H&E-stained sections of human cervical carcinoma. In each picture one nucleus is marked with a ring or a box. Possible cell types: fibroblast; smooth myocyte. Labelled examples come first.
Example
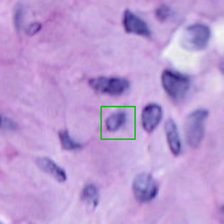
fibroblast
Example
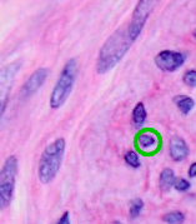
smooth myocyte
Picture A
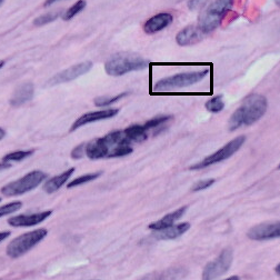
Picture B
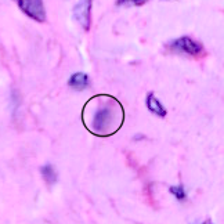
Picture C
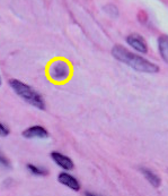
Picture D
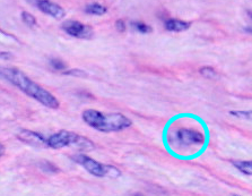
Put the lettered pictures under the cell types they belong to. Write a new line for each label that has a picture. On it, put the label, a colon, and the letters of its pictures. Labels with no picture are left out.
fibroblast: A, B, C
smooth myocyte: D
